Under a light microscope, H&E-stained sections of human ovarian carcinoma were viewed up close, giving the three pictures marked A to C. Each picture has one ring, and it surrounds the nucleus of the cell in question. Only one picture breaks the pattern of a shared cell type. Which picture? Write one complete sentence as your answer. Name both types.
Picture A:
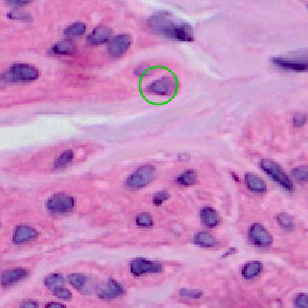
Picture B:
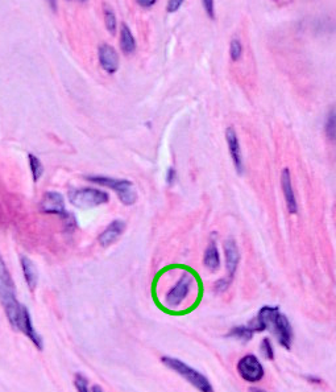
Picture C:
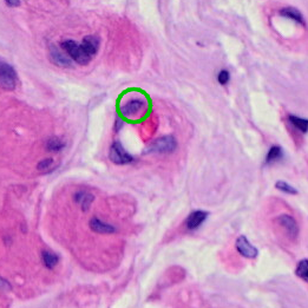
Picture C is the odd one out: it shows an endothelial cell, while the others show smooth muscle cells.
